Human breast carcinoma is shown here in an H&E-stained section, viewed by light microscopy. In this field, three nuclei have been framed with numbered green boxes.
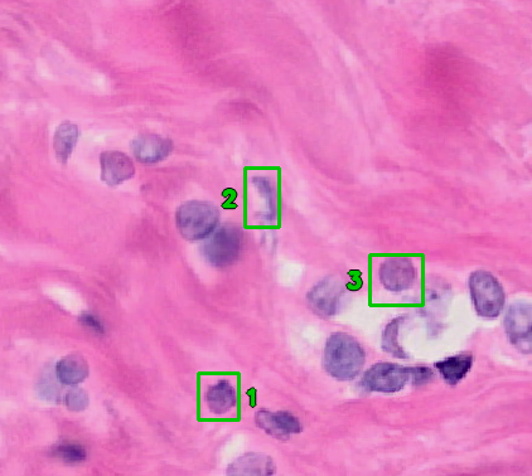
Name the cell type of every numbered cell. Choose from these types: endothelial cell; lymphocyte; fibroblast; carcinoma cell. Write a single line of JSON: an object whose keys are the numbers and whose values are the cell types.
{"1": "lymphocyte", "2": "fibroblast", "3": "carcinoma cell"}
